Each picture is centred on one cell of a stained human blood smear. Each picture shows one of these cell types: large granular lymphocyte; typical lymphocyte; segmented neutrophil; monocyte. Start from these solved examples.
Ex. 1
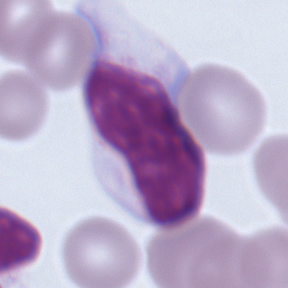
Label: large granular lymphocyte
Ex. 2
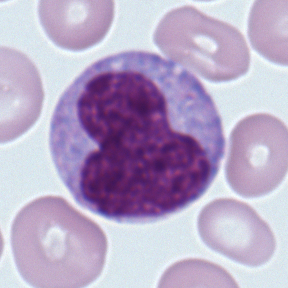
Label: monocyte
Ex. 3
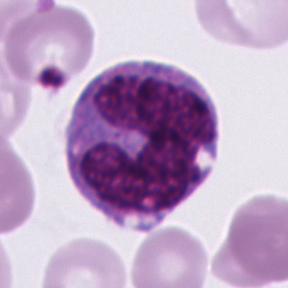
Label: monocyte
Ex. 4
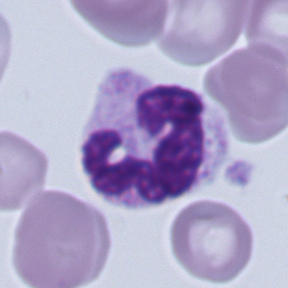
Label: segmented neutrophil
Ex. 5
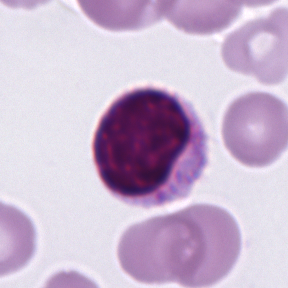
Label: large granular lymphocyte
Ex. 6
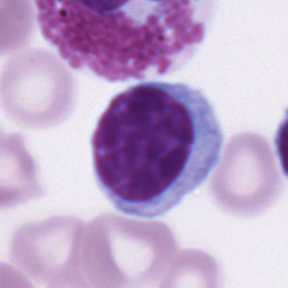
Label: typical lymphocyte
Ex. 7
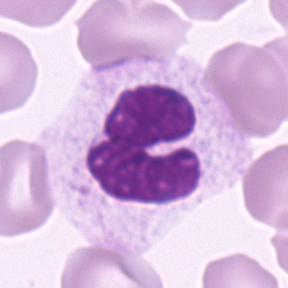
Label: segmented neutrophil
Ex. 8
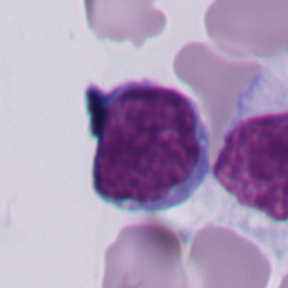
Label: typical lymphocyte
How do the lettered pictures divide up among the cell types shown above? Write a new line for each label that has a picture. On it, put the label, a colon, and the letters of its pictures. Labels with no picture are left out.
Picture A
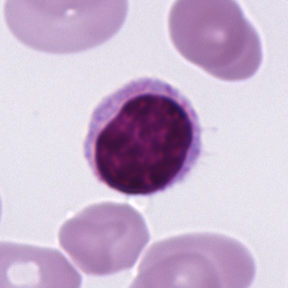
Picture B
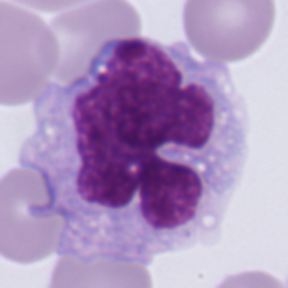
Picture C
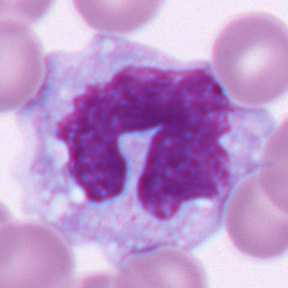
large granular lymphocyte: A
monocyte: B, C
